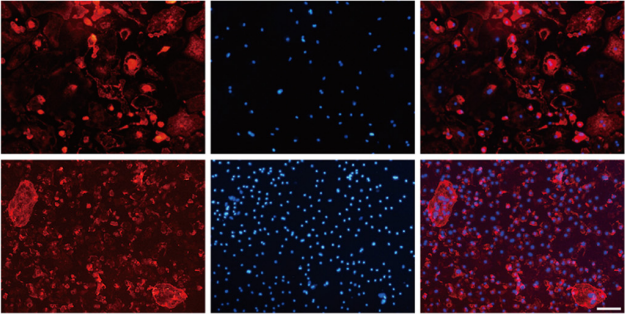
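The images show cultured osteoclasts among smaller mononuclear cells, with the red channel, the blue nuclear channel and their merge side by side. Large, flattened, irregularly outlined cells are bordered by a bright red band at their periphery, enclosing a more faintly red cytoplasm. In the merged images several blue nuclei lie within each of these large cells. Around them are many small round or spindle-shaped cells with a single blue nucleus and a small rim of red. In the lower row the small nuclei are densely scattered across the field.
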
